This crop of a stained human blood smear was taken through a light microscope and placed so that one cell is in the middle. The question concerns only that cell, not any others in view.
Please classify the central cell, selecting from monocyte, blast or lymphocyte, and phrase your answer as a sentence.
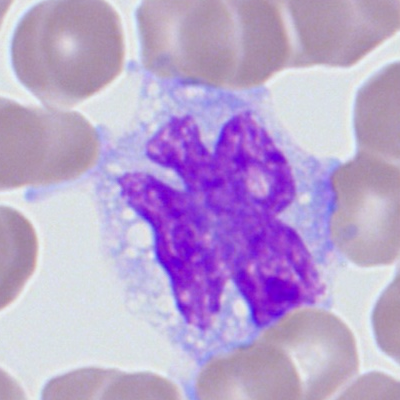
Looking at the middle of the crop, the cell there is a monocyte.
